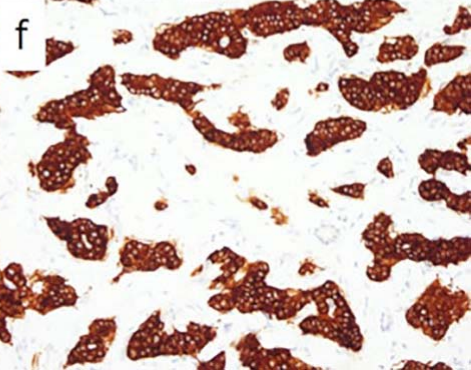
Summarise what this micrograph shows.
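This is tumor tissue in which the tumor cell nests take up a strong brown stain against pale, unstained stroma. The nests are irregular, rounded or branching clusters scattered across the field. The brown stain fills the cytoplasm, while the nuclei stand out as paler rounded spots within the clusters. The stroma between the nests is loose and pale, with only scattered faint blue nuclei.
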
